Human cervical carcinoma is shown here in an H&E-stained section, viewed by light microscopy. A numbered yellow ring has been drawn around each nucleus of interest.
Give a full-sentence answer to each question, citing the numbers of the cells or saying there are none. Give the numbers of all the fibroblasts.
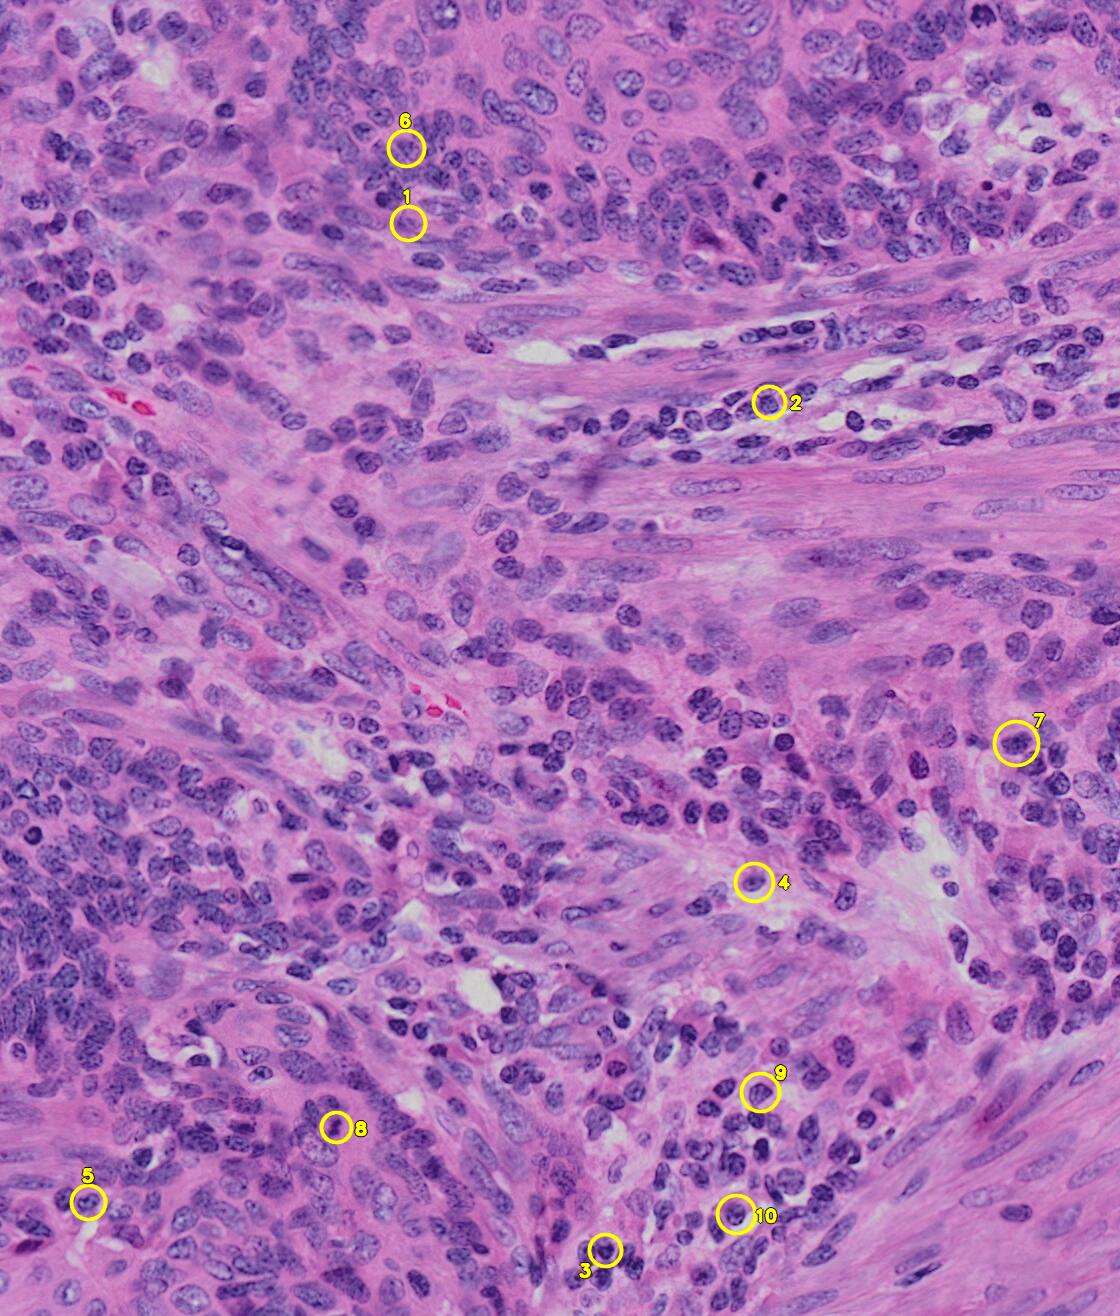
From first to last, the numbered cells include no fibroblasts.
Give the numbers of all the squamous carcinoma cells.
The cells numbered 1, 5, 6 and 8 are of one kind: squamous carcinoma cells.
